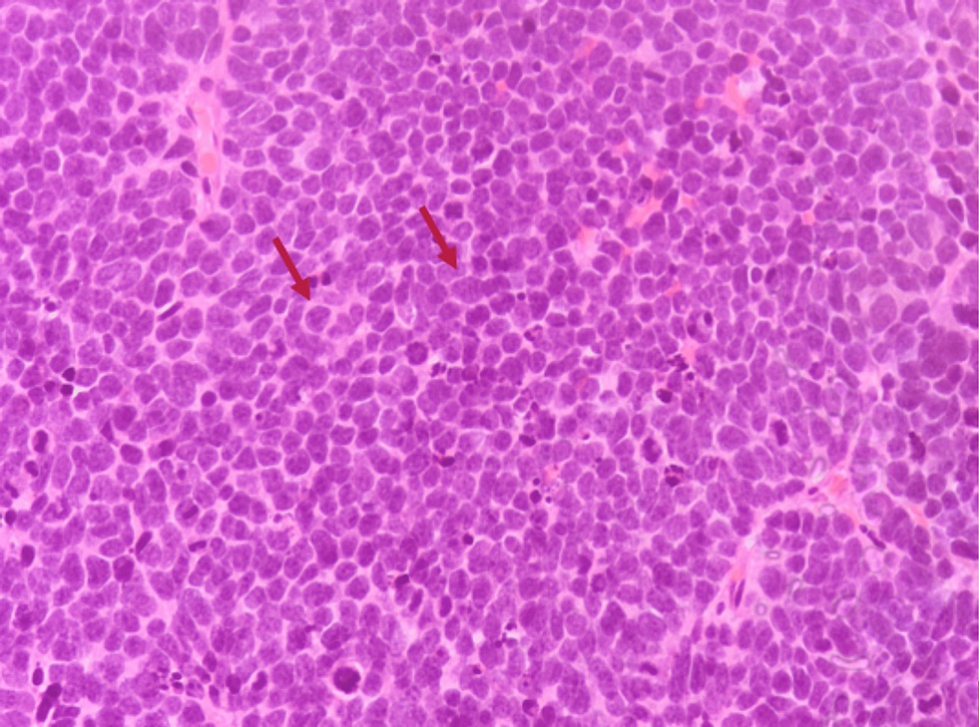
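Diffuse sheets of densely packed malignant cells with large nuclei and scant cytoplasm fill the field. The nuclei are round to oval, stain purple, and are crowded so closely that many mould against their neighbours. Cytoplasm is barely visible as thin pale rims between nuclei. Scattered small dark fragments of nuclear debris and occasional mitotic figures lie among the tumour cells. Thin pink fibrovascular strands run between the sheets, with no glandular or layered arrangement.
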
